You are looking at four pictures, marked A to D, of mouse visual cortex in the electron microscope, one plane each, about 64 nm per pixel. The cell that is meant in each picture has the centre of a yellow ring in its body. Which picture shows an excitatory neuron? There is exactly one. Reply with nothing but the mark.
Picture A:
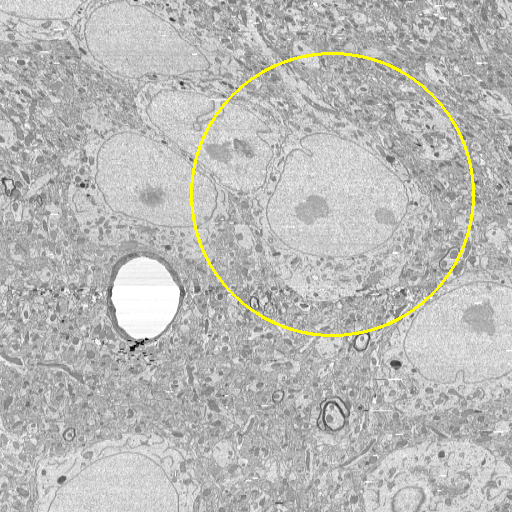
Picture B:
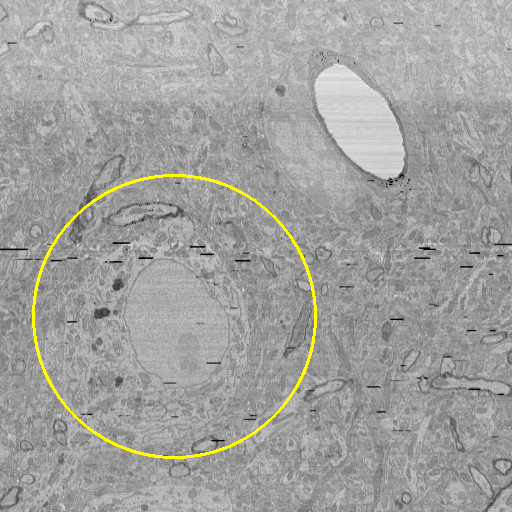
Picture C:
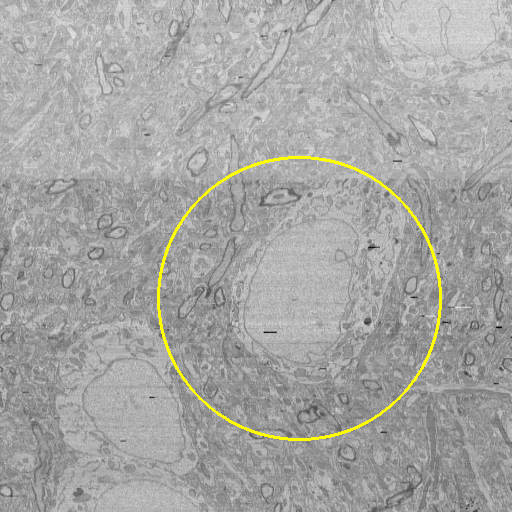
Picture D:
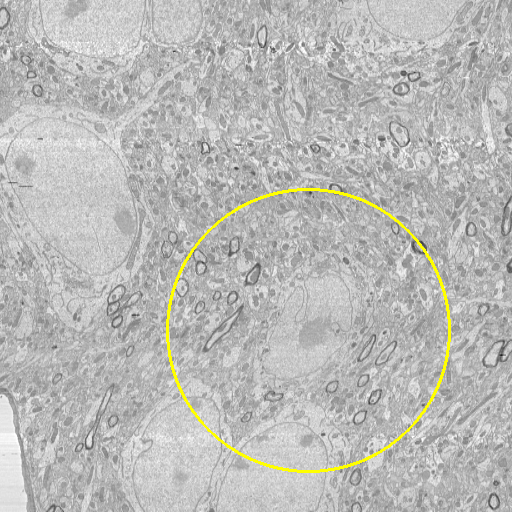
A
